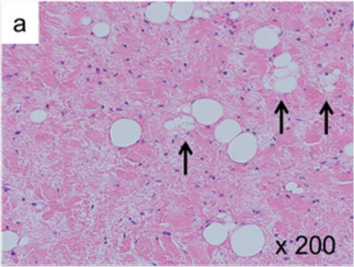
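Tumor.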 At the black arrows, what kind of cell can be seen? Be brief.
Lipoblasts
